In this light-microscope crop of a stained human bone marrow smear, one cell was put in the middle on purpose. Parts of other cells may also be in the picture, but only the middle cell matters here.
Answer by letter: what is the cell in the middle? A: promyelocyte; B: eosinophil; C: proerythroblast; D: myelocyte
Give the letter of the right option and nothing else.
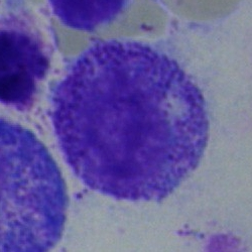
D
